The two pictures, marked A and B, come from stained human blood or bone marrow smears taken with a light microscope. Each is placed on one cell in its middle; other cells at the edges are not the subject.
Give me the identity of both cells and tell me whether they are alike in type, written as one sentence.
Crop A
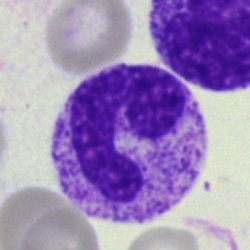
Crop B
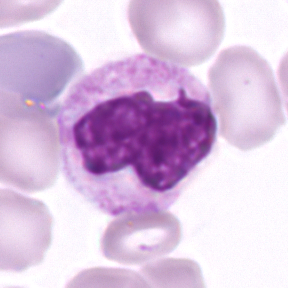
Yes, both crops contain band neutrophils at their centres.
